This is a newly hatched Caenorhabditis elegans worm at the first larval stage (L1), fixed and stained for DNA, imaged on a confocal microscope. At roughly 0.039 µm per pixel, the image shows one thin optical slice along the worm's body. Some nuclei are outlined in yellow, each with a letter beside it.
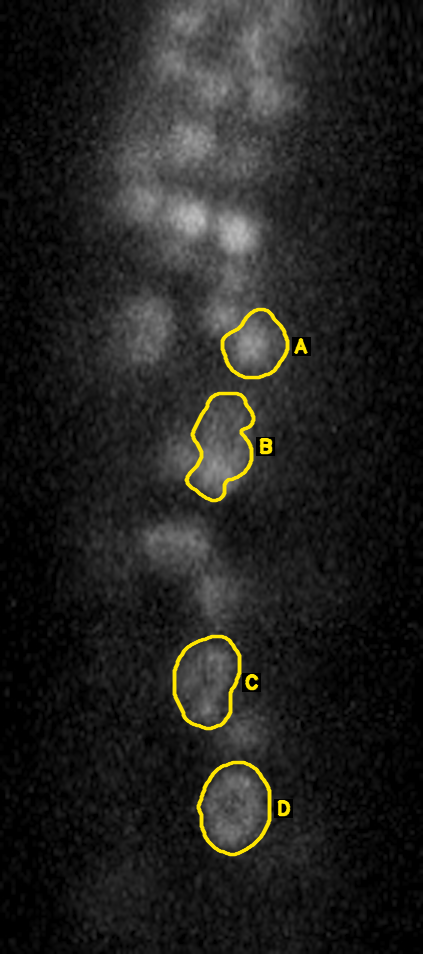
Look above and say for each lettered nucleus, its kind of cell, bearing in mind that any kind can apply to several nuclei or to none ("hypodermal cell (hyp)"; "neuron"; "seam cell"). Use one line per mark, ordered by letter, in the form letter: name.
A: neuron
B: seam cell
C: hypodermal cell (hyp)
D: seam cell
